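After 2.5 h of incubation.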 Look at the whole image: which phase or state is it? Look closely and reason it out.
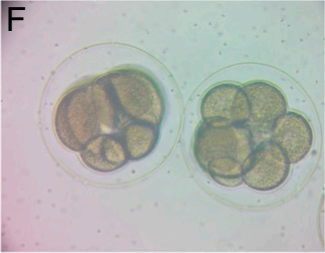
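Eight-cell stage. Each embryo is divided into several large rounded cells. The embryos lie within a clear round envelope.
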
